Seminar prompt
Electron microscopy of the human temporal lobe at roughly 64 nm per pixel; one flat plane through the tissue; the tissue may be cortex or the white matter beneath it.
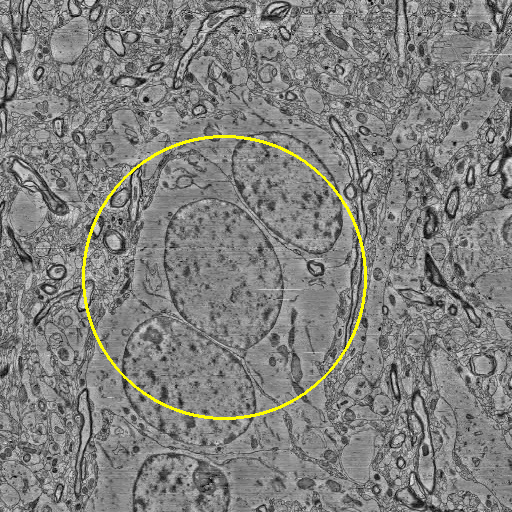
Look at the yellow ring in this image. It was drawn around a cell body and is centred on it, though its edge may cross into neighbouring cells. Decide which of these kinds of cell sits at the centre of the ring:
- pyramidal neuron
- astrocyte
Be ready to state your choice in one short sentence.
The kind of cell at the ring's centre is an astrocyte.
